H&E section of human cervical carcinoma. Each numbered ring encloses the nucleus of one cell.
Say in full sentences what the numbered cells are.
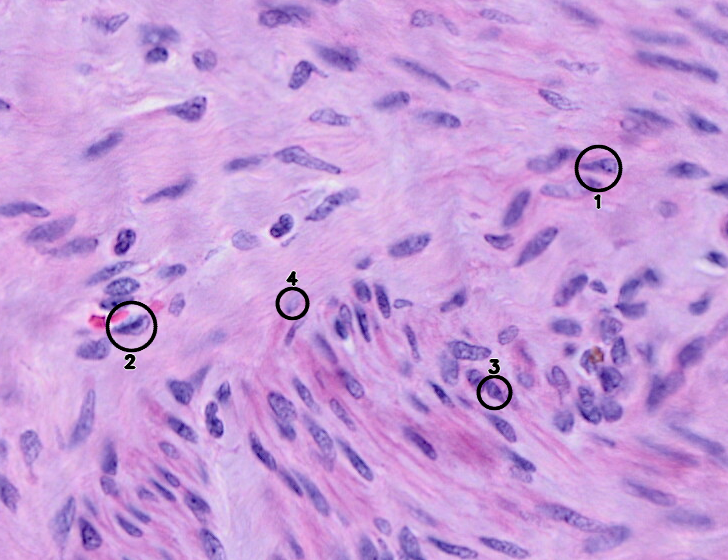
Cell 1 is a smooth muscle cell, cell 2 is an endothelial cell, cell 3 is a smooth muscle cell and cell 4 is a smooth muscle cell.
